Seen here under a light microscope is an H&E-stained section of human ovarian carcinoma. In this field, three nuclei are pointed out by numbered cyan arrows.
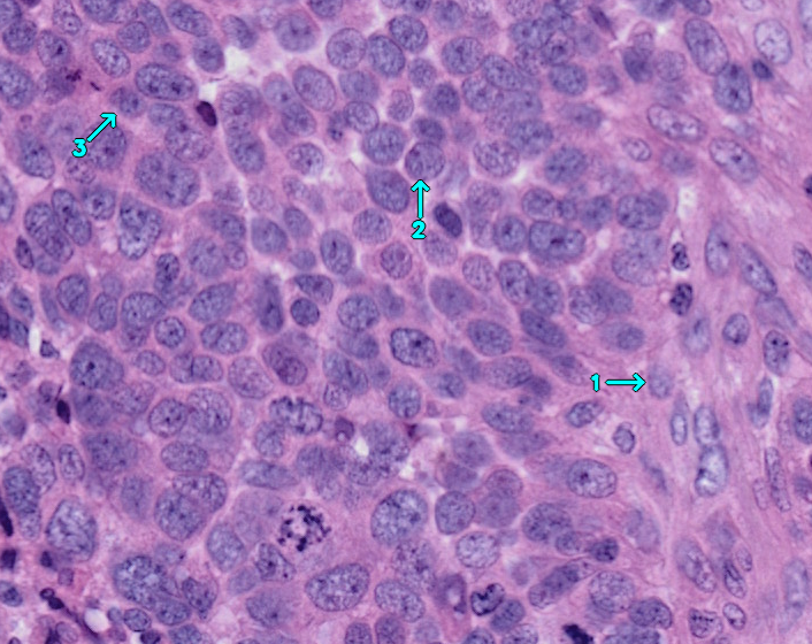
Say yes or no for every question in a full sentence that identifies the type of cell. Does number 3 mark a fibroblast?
No, cell 3 is not a fibroblast at all but a carcinoma cell.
